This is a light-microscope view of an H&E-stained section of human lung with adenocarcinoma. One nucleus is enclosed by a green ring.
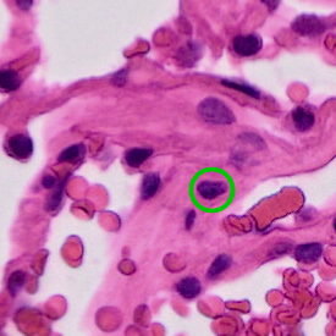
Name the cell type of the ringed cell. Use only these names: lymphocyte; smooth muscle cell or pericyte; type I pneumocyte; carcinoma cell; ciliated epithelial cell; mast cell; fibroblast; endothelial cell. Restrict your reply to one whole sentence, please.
In this section, the ringed cell is a mast cell.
